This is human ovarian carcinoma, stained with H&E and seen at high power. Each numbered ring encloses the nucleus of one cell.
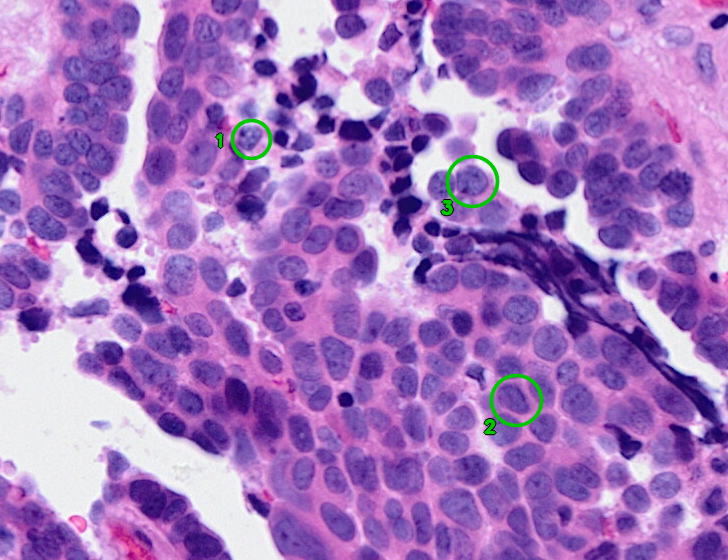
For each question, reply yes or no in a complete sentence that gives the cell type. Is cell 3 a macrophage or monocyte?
No, cell 3 is a carcinoma cell; it is not a macrophage or monocyte.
